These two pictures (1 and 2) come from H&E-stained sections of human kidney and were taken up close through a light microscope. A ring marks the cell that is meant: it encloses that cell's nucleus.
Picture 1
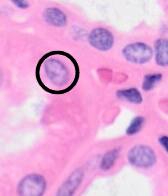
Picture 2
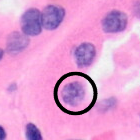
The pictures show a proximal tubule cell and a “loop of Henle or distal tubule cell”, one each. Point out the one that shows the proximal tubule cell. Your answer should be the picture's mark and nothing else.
1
